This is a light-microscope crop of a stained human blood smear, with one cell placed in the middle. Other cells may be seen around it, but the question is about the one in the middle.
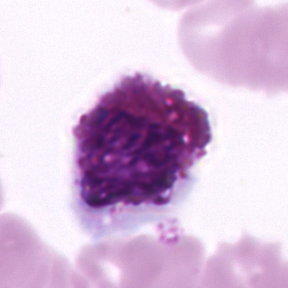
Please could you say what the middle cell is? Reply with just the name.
eosinophil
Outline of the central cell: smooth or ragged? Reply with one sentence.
The boundary of the cell runs irregularly, ragged in parts or drawn into projections.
